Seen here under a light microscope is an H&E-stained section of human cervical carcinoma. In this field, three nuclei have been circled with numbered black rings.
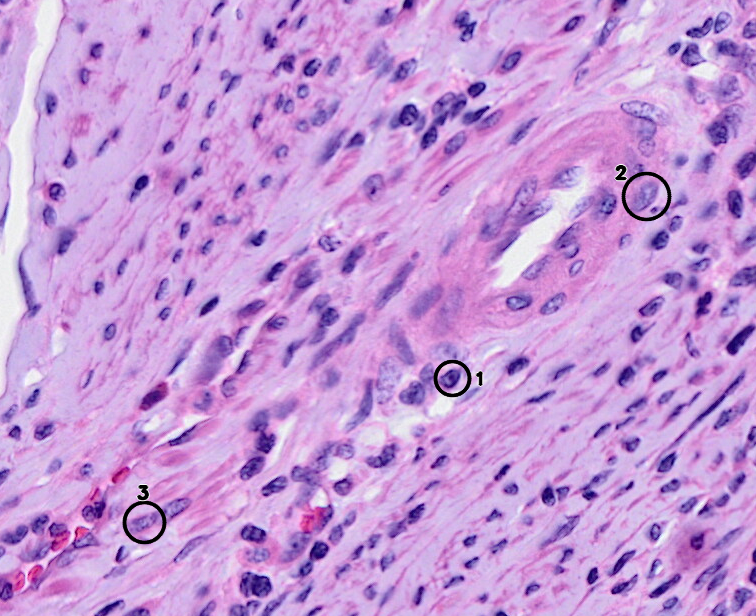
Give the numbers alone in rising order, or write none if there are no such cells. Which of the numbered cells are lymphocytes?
1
